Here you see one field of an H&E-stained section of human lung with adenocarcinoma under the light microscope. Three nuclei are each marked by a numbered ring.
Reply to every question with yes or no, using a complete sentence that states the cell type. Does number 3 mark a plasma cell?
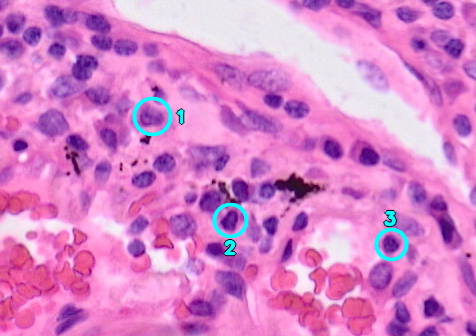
No, the cell given number 3 is a lymphocyte, as opposed to a plasma cell.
